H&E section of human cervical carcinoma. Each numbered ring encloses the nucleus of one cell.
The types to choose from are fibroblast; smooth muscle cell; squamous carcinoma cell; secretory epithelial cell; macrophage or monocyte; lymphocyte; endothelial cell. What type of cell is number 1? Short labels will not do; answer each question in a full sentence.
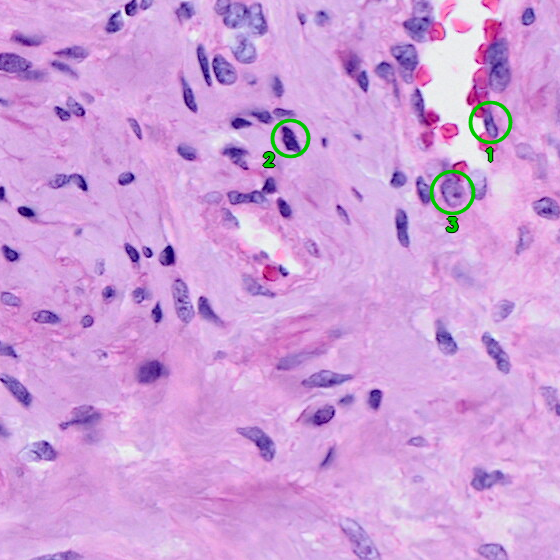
The cell tagged with 1 in this tissue section is an endothelial cell.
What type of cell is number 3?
Identified by the number 3, the cell is an endothelial cell.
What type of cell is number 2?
The nucleus with number 2 is that of a fibroblast.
